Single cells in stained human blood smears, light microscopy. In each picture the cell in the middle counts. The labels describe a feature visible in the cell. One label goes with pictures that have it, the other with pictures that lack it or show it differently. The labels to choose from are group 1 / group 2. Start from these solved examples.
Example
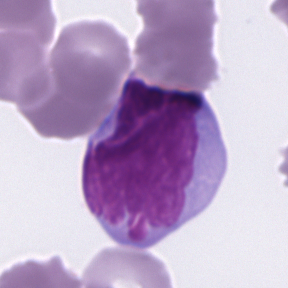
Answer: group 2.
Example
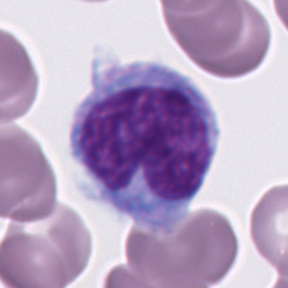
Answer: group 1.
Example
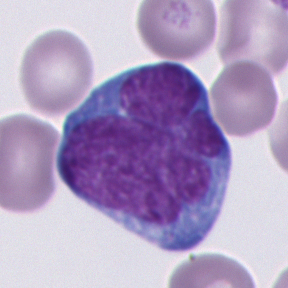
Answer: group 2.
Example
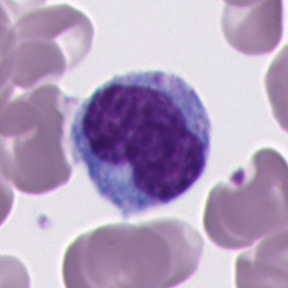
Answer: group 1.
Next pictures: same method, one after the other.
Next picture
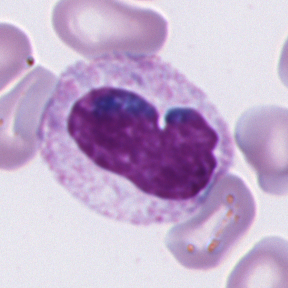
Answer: group 1.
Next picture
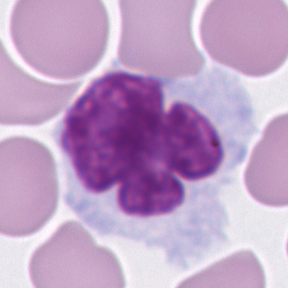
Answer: group 2.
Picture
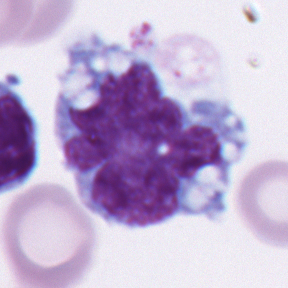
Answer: group 2.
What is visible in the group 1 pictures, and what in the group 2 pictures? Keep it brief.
group 1, single compact nucleus; group 2, lobed nucleus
